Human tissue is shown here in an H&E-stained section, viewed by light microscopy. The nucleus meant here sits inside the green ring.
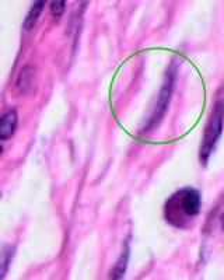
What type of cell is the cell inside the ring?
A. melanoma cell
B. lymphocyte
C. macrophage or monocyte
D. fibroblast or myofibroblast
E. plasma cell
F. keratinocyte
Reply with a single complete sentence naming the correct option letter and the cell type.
Under option D, the cell inside the ring is listed as a fibroblast or myofibroblast, which is correct.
